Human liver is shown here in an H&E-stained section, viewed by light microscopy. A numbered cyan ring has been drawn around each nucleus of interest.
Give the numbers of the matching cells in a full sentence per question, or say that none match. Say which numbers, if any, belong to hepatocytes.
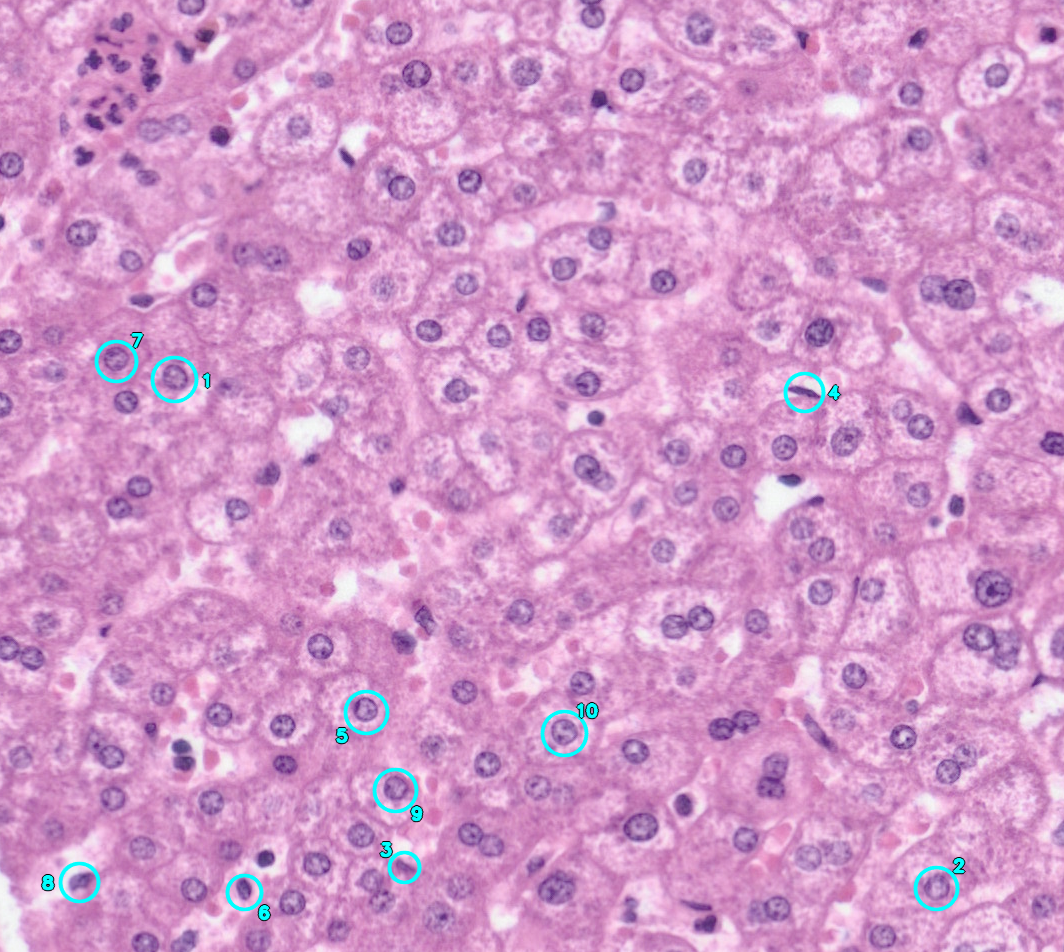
The cells tagged 1, 2, 5, 7, 9 and 10 are hepatocytes in this tissue section.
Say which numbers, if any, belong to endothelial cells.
Within this tissue, the cells numbered 3, 4 and 8 are endothelial cells.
